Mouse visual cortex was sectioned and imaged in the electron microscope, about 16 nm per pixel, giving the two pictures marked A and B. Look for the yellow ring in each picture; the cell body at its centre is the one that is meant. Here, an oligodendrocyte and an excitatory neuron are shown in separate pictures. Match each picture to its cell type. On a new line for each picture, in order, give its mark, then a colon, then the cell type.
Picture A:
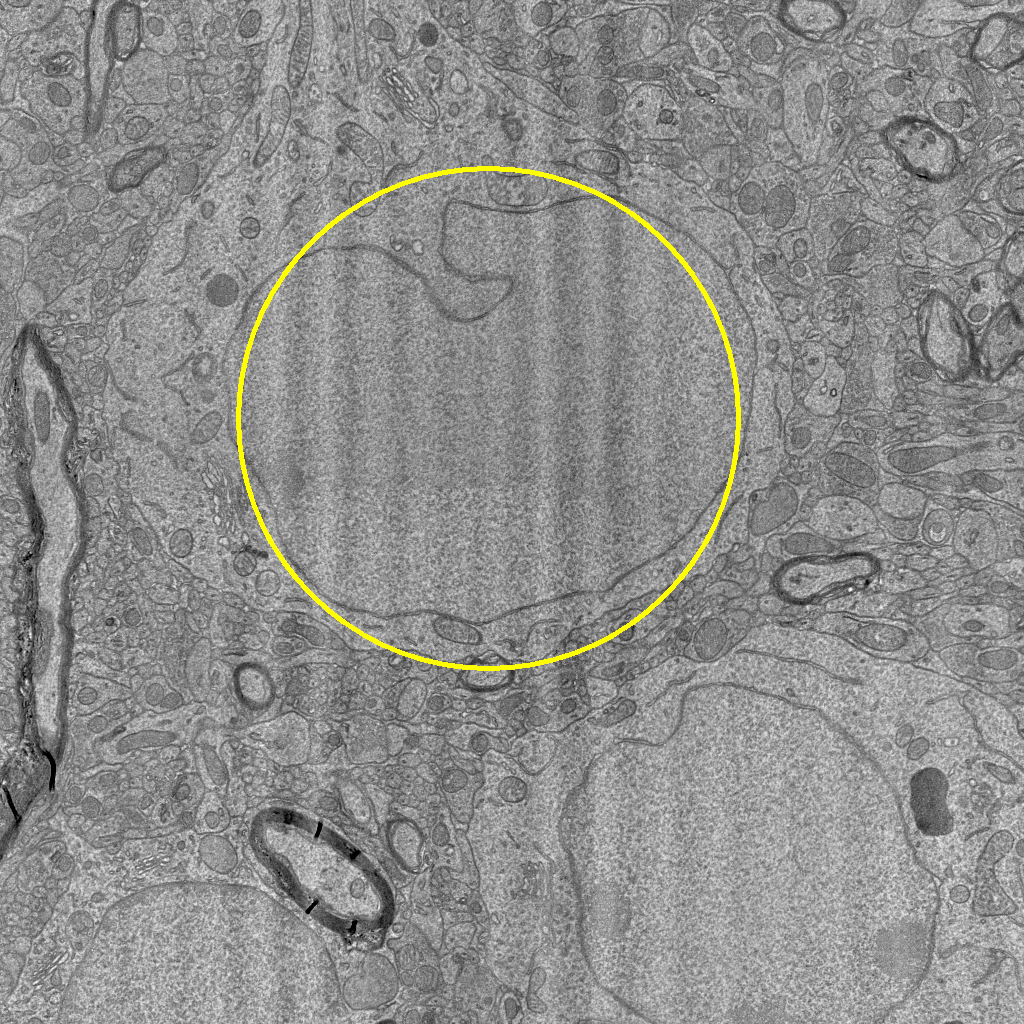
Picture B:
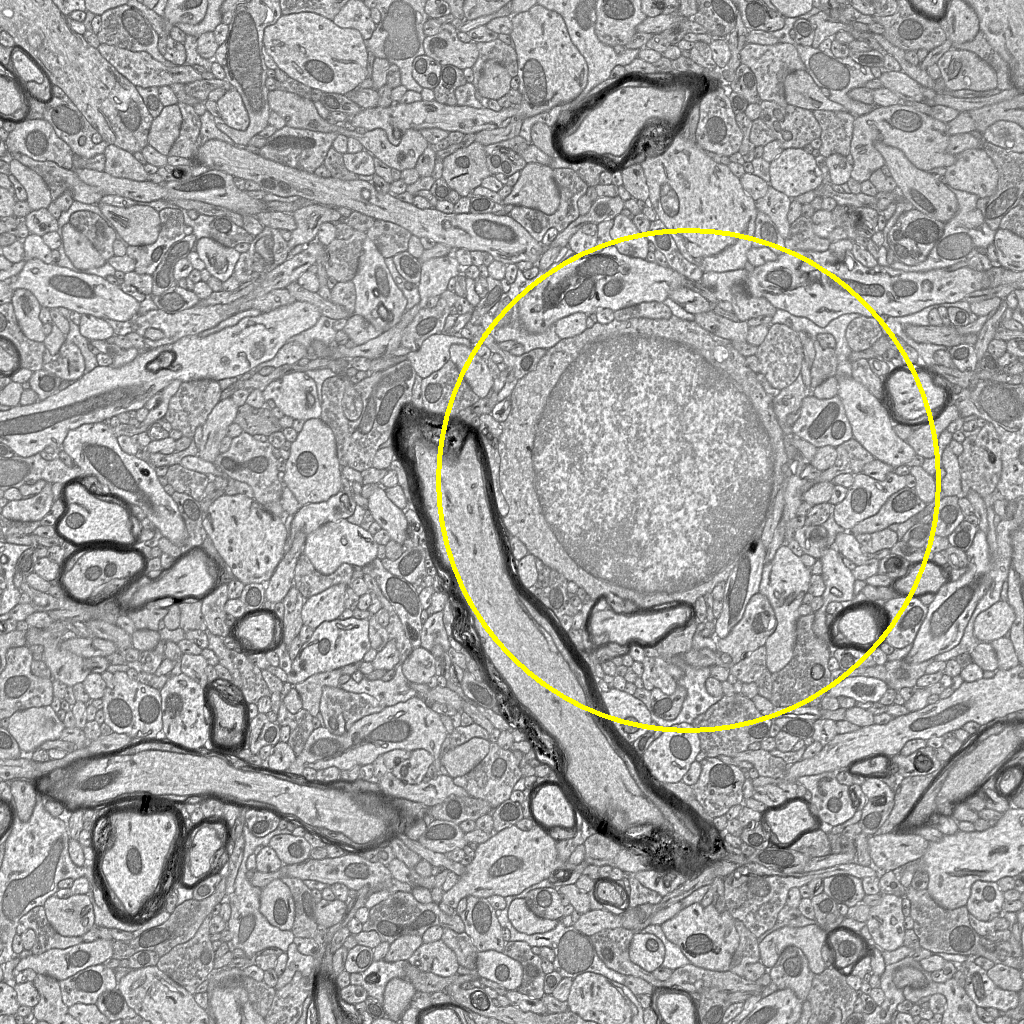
A: excitatory neuron
B: oligodendrocyte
